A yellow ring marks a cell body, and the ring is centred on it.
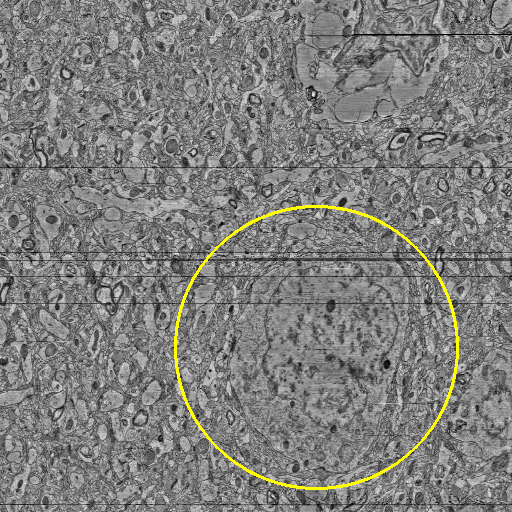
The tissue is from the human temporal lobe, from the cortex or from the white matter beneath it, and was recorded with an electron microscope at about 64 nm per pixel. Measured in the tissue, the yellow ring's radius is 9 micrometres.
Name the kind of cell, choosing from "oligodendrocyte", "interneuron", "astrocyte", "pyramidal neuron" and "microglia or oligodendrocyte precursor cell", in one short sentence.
The marked cell body belongs to an interneuron.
